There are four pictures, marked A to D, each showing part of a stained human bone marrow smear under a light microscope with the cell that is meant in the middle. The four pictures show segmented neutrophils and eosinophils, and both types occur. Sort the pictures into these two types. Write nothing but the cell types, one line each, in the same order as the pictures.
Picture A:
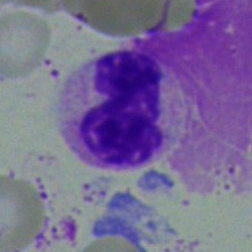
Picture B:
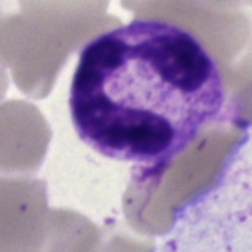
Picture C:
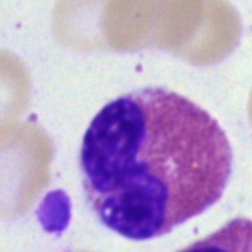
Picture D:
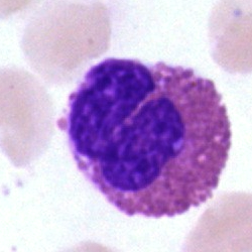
segmented neutrophil
segmented neutrophil
eosinophil
eosinophil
